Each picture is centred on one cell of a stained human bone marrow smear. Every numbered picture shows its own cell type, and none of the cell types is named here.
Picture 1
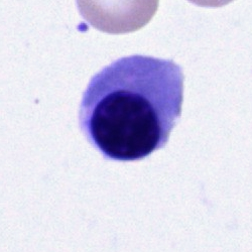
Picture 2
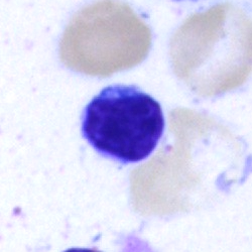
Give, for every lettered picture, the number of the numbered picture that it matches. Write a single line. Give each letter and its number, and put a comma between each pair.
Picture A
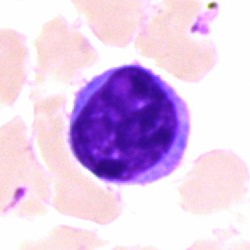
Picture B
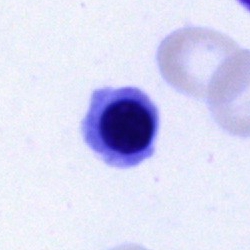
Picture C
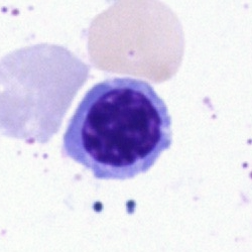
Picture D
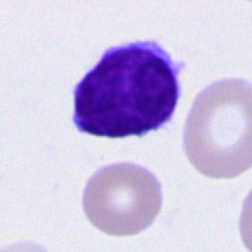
A 2, B 1, C 1, D 2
